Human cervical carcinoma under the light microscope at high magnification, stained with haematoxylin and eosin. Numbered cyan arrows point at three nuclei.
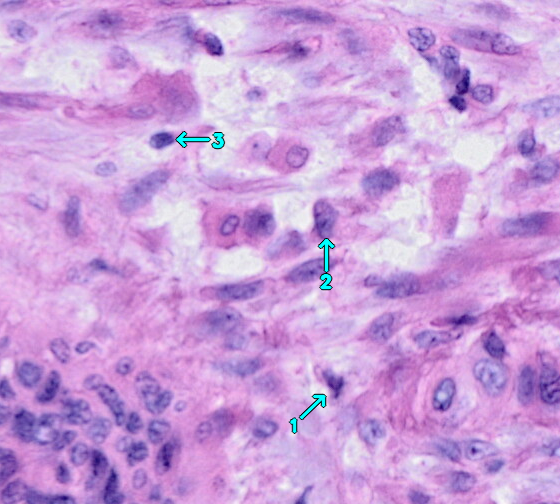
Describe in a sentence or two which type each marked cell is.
Cells 1 and 2 are macrophages or monocytes. Cell 3 is a lymphocyte.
